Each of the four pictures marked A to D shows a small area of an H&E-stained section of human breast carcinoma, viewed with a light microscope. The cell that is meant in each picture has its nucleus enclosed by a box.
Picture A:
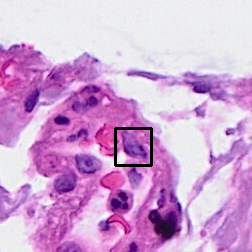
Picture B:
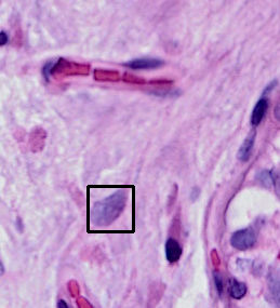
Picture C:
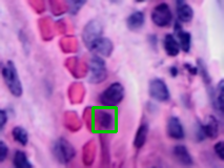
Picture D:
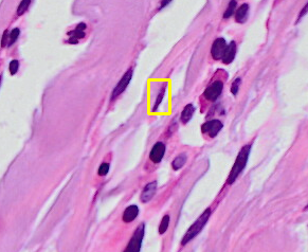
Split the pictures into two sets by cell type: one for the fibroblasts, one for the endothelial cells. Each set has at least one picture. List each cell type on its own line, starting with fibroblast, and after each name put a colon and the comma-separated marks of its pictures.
fibroblast: B, D
endothelial cell: A, C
